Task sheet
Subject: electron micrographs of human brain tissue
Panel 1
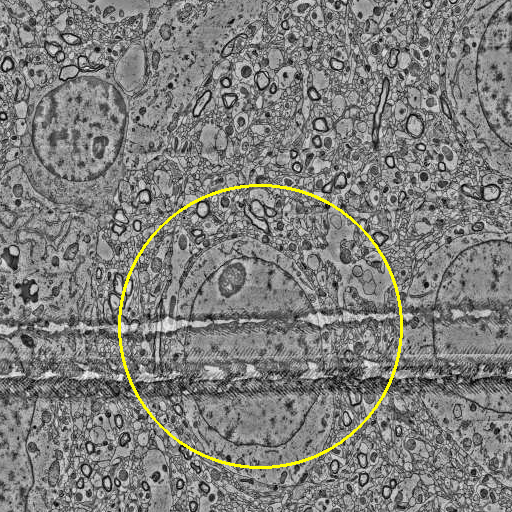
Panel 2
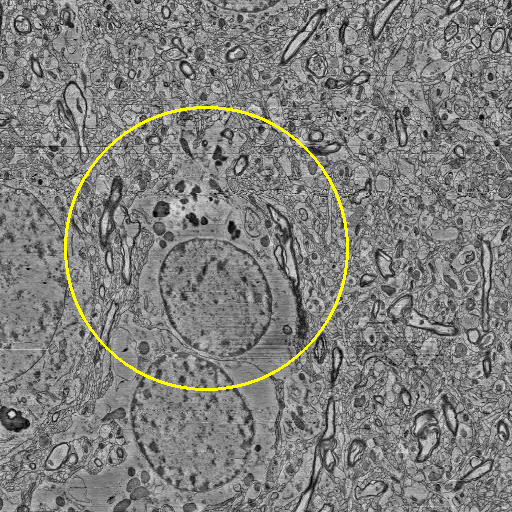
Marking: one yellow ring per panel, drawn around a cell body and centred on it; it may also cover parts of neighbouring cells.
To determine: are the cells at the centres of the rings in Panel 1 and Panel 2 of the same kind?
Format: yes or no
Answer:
no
